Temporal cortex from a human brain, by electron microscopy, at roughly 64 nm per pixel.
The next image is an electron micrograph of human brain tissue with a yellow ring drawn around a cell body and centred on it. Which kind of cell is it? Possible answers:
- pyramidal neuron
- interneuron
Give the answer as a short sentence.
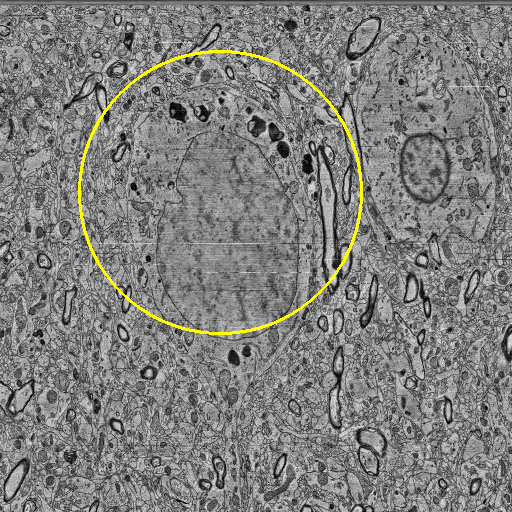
In the ring's centre is a pyramidal neuron.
